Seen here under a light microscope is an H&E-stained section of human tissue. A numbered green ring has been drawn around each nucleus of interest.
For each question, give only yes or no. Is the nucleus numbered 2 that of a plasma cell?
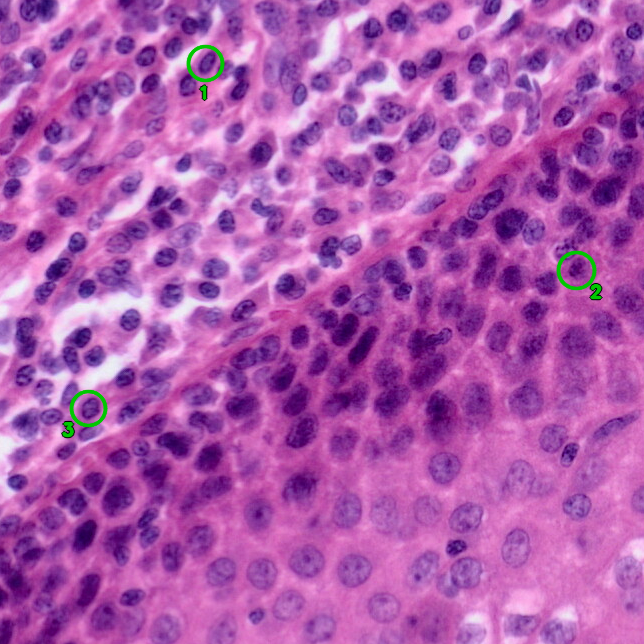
no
